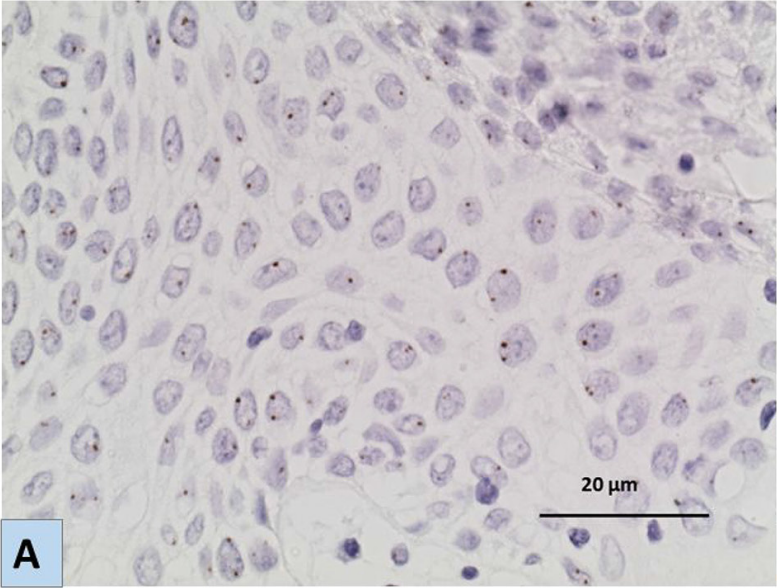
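Inside most nuclei lie one or two tiny brown dots, and only a few nuclei show more. The cytoplasm between the nuclei is pale and barely stained, so the cell borders are faint. Toward one corner the cells are smaller and more crowded, with darker nuclei.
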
